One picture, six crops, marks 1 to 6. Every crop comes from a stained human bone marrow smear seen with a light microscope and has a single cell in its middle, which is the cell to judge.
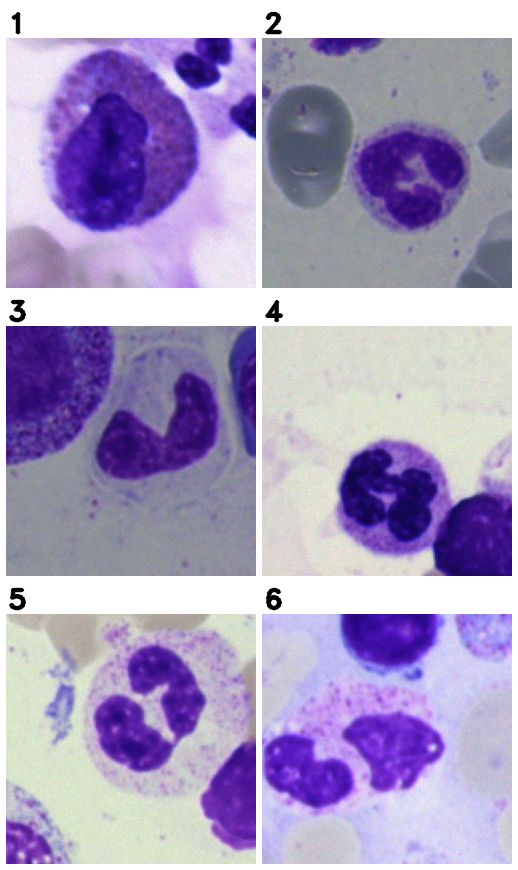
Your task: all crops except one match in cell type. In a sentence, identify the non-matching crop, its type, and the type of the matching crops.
The cells centred in the other crops are all segmented neutrophils, but crop 1 is an eosinophil.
